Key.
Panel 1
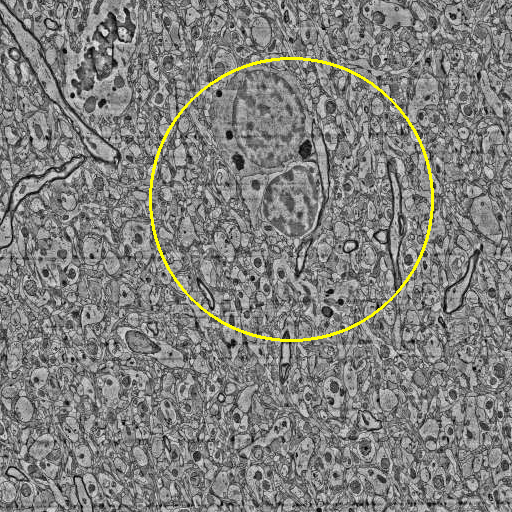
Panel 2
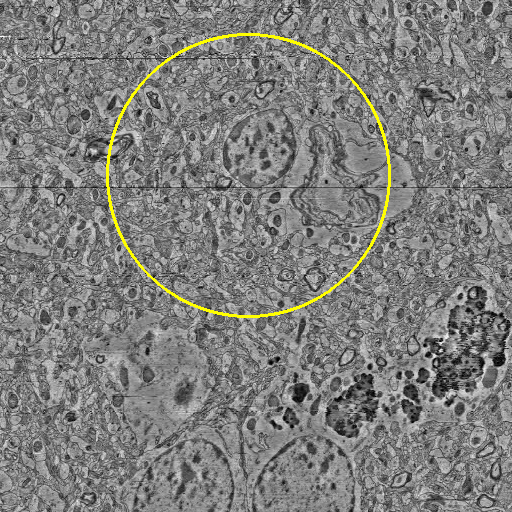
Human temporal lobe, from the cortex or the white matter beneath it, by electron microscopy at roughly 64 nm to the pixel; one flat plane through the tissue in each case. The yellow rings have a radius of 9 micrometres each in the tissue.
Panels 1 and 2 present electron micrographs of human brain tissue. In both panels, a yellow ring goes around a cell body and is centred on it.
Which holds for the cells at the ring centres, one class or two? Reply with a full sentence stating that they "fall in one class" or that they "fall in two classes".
Taken together, the ring-centre cells of the two panels fall in one class.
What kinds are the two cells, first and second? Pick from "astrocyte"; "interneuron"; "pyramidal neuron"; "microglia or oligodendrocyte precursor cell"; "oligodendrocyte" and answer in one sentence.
Each of the two rings surrounds a microglial cell or oligodendrocyte precursor cell.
